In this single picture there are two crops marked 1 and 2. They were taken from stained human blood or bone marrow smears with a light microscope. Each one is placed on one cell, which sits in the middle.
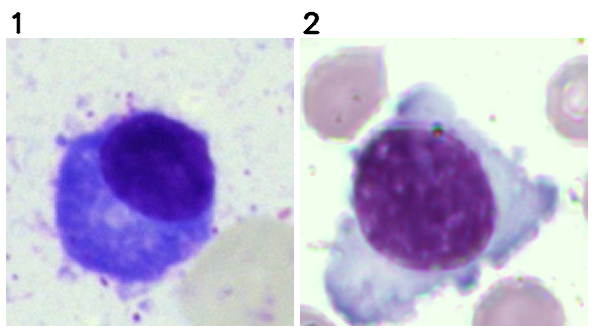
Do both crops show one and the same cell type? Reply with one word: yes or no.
yes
